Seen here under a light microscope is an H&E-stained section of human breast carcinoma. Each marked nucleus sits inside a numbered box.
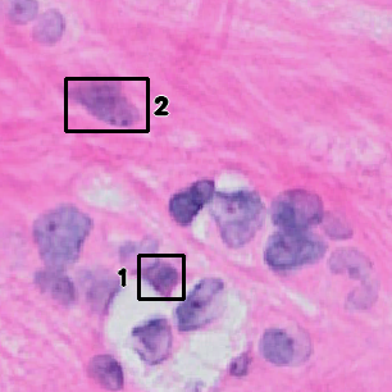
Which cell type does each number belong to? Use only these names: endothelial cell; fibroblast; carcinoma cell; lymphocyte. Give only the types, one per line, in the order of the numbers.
carcinoma cell
fibroblast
